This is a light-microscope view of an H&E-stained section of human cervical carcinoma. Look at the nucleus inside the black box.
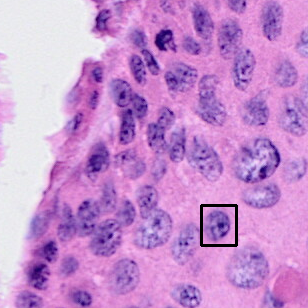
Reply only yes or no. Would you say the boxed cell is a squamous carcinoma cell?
yes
